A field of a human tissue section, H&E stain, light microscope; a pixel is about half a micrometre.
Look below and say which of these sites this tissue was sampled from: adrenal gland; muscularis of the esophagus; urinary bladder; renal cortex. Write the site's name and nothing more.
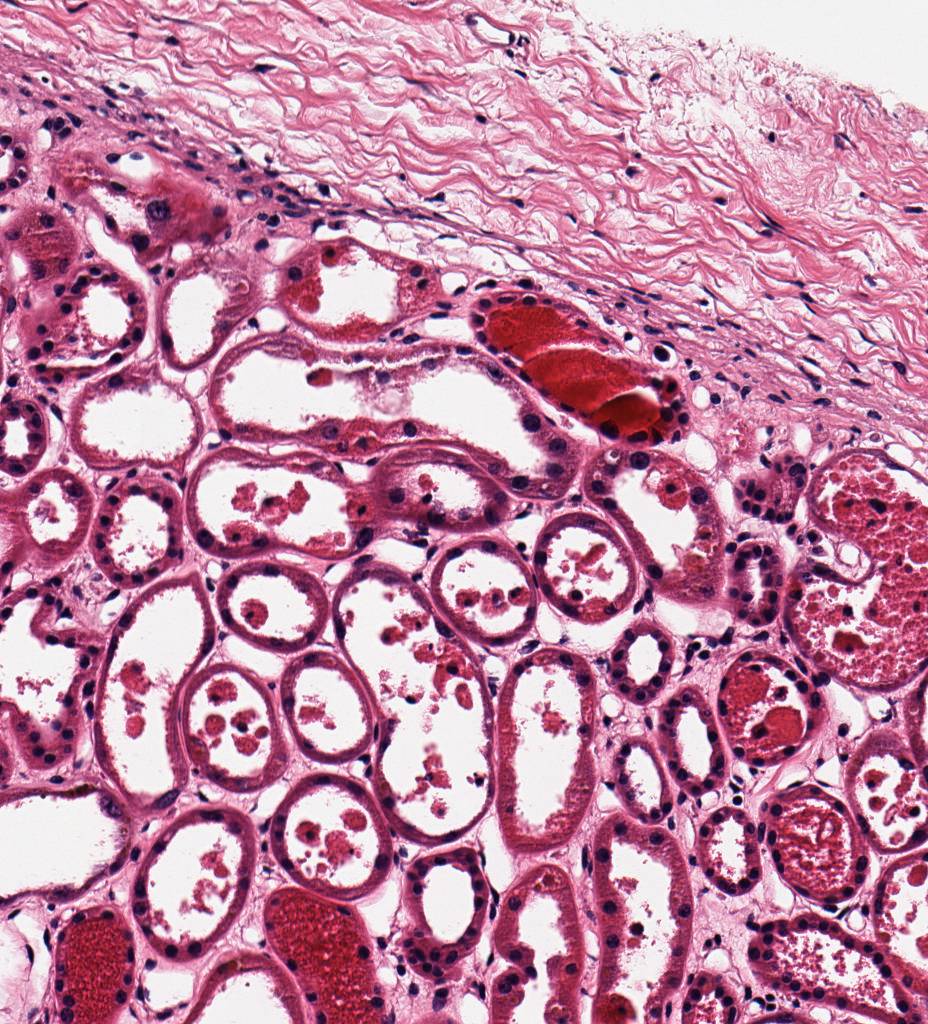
renal cortex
